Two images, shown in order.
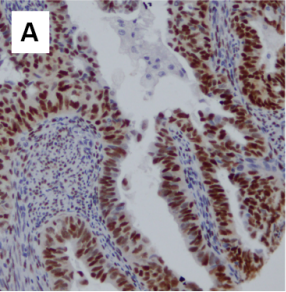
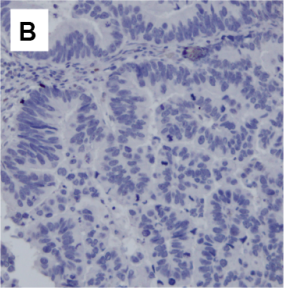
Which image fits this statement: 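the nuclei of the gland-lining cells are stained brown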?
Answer: The first image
